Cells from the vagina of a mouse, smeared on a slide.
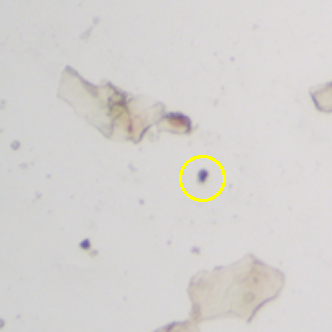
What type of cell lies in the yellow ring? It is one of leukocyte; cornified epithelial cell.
The ringed cell is a leukocyte.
